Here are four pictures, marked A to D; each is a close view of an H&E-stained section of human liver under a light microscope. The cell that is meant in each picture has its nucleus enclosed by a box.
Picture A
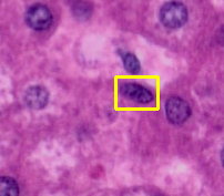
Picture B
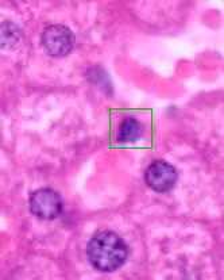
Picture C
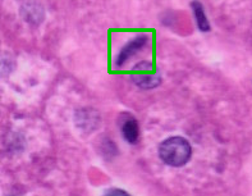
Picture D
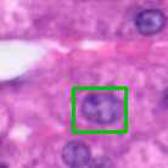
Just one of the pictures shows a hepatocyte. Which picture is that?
D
